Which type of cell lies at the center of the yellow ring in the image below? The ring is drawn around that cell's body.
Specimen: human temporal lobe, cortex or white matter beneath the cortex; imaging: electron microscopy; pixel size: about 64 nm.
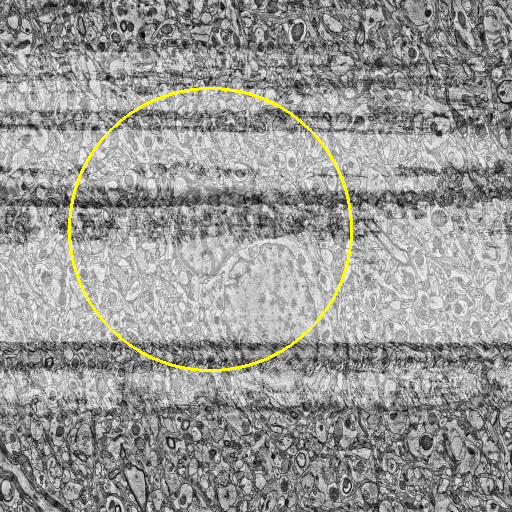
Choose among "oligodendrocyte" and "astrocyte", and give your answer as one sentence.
The cell body at the center belongs to an oligodendrocyte.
